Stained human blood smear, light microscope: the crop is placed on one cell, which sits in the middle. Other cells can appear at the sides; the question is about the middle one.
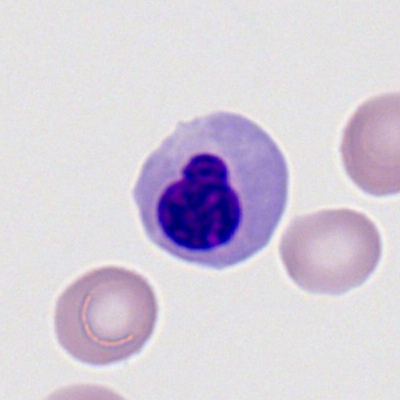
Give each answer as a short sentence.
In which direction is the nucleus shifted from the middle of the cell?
The nucleus is pushed toward the lower left of the cell.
